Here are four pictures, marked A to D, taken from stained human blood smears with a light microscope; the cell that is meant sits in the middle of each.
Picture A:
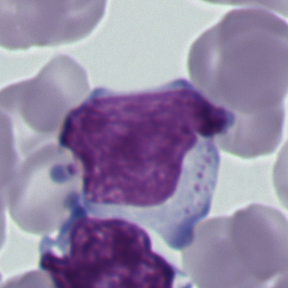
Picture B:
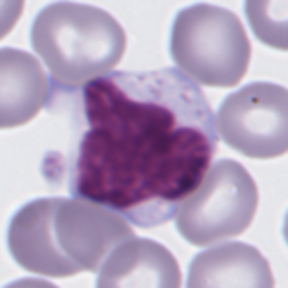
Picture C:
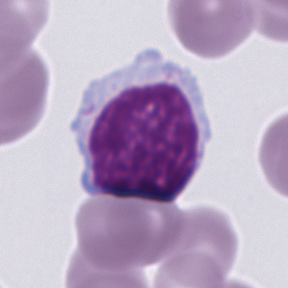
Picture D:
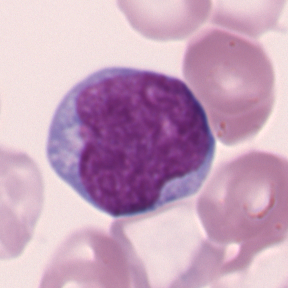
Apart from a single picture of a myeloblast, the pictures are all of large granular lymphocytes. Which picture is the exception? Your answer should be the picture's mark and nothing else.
D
